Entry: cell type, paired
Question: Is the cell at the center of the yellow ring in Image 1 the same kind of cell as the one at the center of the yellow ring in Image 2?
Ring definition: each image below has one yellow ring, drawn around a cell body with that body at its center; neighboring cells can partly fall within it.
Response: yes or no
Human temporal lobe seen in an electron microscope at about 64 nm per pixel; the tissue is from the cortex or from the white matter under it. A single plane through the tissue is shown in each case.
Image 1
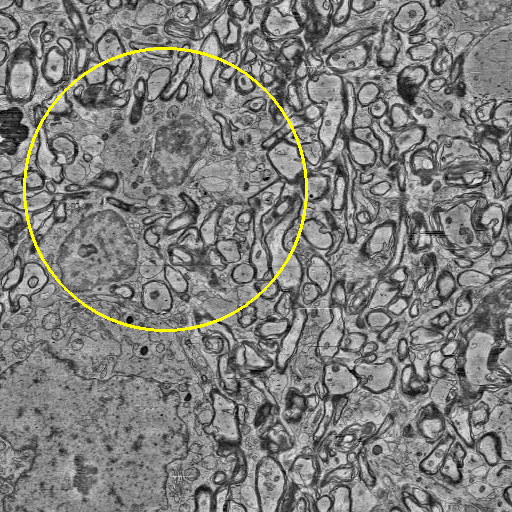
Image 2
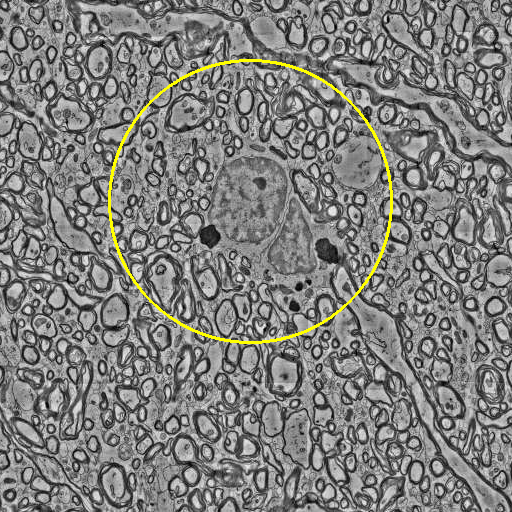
yes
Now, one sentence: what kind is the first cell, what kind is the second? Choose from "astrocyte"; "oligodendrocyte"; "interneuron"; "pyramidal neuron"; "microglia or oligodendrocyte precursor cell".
Both rings mark an oligodendrocyte, one in each picture.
